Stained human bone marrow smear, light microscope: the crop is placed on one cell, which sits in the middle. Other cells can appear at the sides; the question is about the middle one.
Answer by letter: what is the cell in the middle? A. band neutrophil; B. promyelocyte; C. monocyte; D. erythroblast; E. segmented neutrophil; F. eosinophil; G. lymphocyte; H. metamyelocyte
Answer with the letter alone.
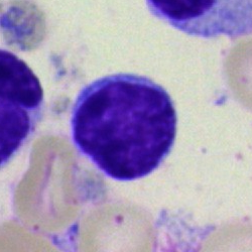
G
